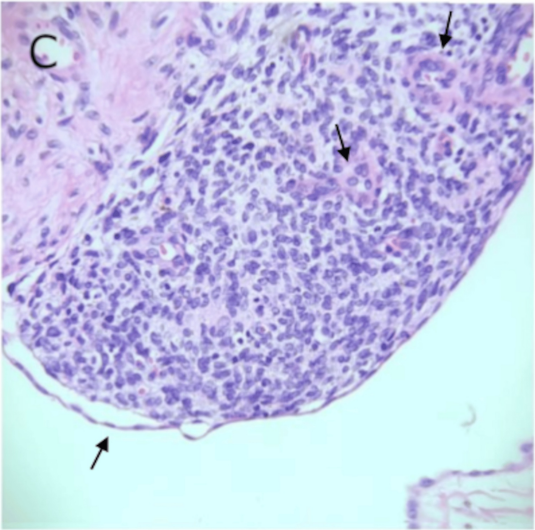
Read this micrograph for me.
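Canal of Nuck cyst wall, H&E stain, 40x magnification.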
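A dense field of endometrial-type stroma fills most of the view, made of crowded small oval to round dark-purple nuclei with scant cytoplasm. Scattered among them are a few small tubular glands whose lining cells have pinker cytoplasm. At the upper left the cellular zone meets paler pink fibrous tissue with sparse elongated nuclei. Along the lower border a thin flattened lining runs over the surface of the tissue.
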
